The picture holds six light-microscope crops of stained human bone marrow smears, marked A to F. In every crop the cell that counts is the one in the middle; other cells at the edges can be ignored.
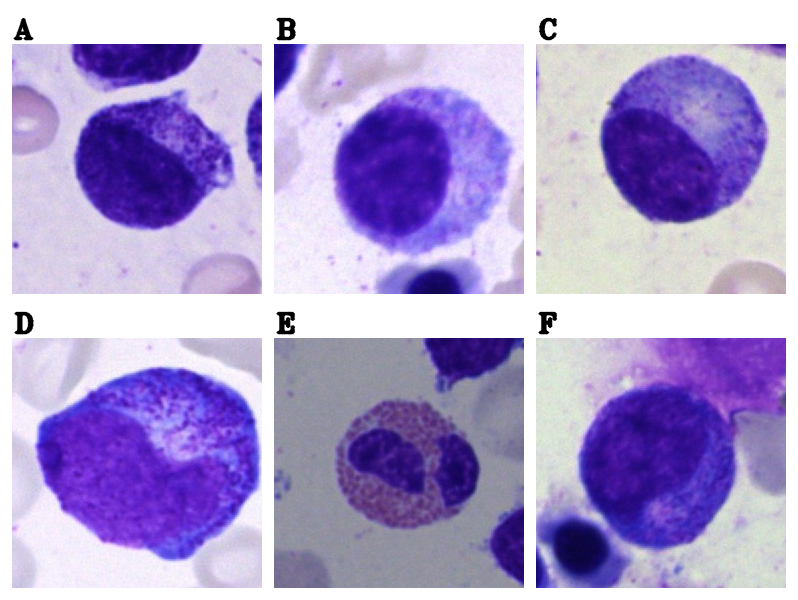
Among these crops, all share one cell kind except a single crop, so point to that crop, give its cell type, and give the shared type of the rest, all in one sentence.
Of the crops, all show promyelocytes save crop E, which shows an eosinophil.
